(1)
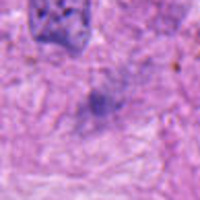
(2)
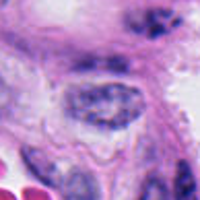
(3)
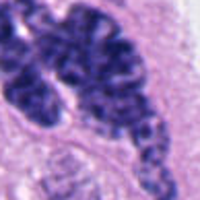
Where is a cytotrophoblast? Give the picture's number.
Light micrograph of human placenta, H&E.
2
